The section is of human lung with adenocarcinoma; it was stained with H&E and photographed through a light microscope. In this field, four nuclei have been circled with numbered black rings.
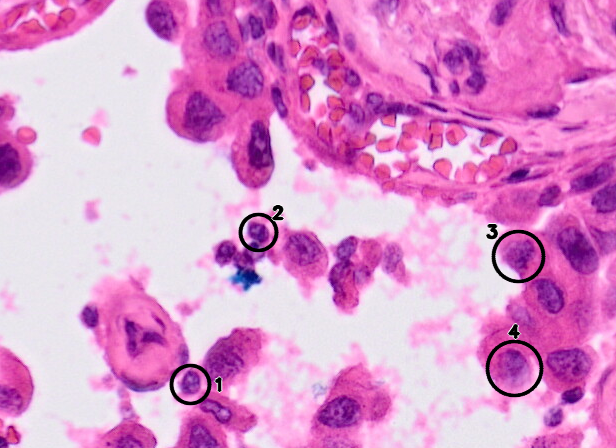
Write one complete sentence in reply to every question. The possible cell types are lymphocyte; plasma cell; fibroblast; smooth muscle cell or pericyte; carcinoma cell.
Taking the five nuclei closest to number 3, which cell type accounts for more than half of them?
Most of the five nuclei nearest to number 3 are those of carcinoma cells.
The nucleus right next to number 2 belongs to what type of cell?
The cell nearest to number 2 is a plasma cell.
